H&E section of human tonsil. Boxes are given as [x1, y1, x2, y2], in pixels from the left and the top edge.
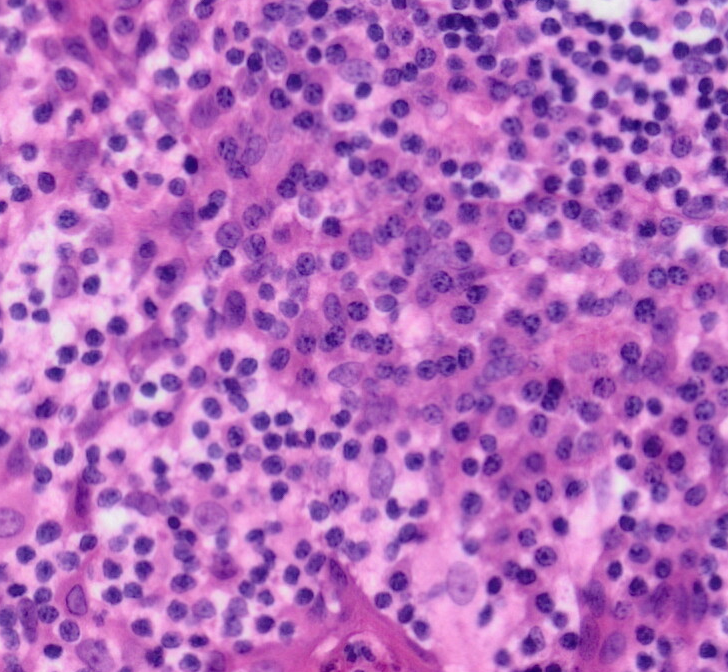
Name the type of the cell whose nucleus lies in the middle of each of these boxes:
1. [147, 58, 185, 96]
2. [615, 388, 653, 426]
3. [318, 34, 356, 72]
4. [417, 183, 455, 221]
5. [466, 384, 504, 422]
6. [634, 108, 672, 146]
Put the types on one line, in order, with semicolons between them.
squamous epithelial cell; plasma cell; plasma cell; plasma cell; plasma cell; small lymphocyte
